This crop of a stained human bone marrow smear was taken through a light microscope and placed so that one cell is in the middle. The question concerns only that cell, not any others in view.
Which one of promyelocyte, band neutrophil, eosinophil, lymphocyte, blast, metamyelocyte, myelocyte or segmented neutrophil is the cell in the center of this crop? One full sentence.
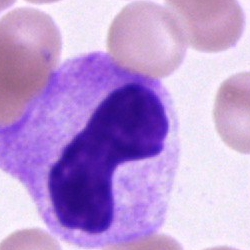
Whatever else lies nearby, the middle cell is a band neutrophil.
